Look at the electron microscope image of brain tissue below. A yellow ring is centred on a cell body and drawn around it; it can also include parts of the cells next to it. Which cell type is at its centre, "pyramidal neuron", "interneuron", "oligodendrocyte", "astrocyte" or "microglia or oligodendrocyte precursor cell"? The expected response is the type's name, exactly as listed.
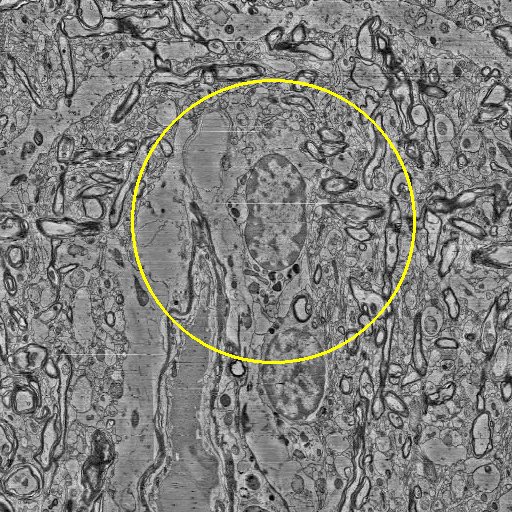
microglia or oligodendrocyte precursor cell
